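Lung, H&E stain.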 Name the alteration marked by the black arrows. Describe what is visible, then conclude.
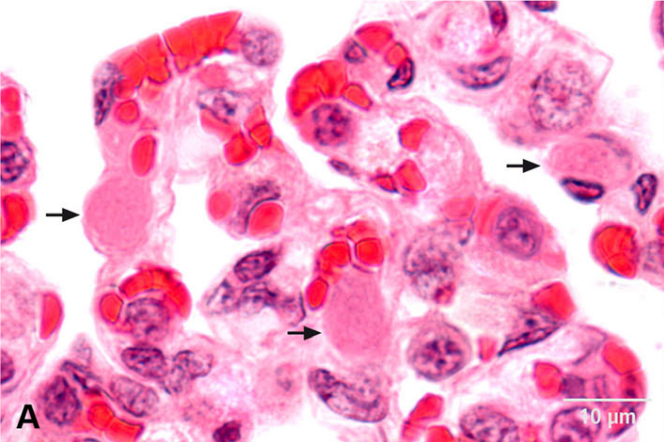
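Hyalin thrombi. The arrows point to homogeneous, pale pink, rounded masses. The masses lie within narrow vessels alongside bright red erythrocytes. The masses lack nuclei and are glassy and uniform.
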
